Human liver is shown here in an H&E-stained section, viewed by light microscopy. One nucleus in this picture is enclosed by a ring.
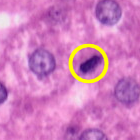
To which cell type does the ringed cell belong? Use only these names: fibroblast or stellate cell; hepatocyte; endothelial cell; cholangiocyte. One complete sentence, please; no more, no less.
It is as a fibroblast or stellate cell that the ringed cell is classified.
